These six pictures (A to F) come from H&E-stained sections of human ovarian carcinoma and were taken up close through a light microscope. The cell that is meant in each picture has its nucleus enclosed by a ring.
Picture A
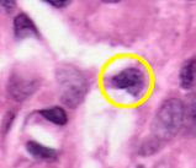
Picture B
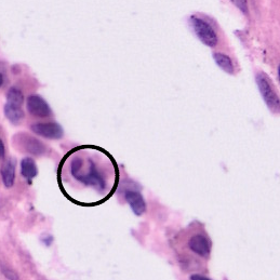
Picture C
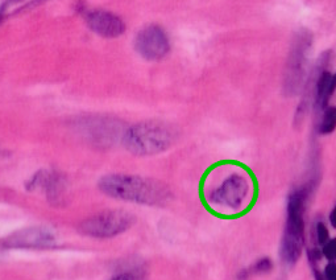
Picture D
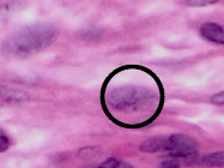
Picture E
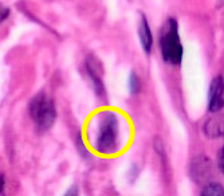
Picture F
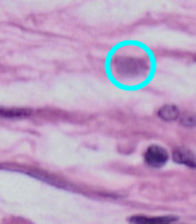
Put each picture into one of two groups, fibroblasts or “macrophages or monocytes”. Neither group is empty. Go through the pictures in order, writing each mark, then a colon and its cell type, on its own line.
A: macrophage or monocyte
B: macrophage or monocyte
C: macrophage or monocyte
D: fibroblast
E: fibroblast
F: fibroblast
